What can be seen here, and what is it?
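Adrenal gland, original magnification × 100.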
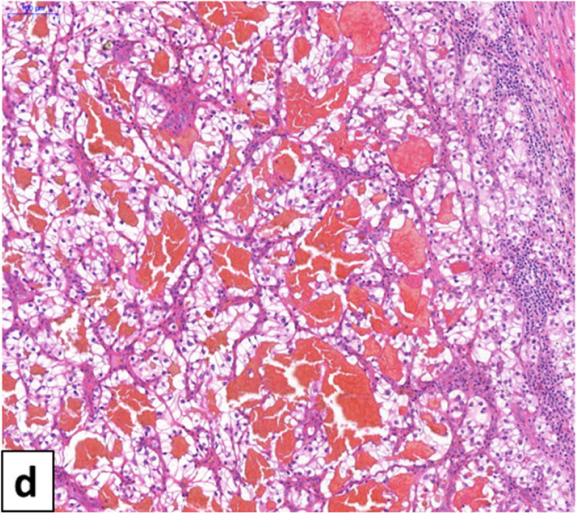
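The cells form nests separated by a fine network of thin vascular septa. Numerous small cystic spaces between the nests are filled with red blood. A band of small dark lymphocytes and pink fibrous tissue runs along the right edge.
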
